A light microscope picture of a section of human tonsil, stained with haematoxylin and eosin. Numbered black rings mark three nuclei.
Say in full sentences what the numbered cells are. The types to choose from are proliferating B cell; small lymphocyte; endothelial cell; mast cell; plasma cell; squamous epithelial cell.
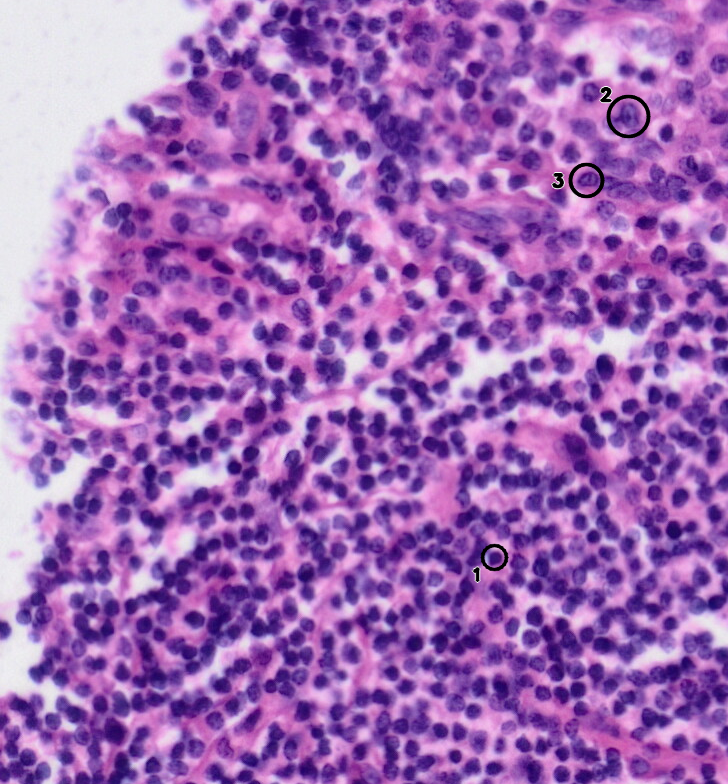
Cell 1 is a small lymphocyte. Cells 2 and 3 are plasma cells.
